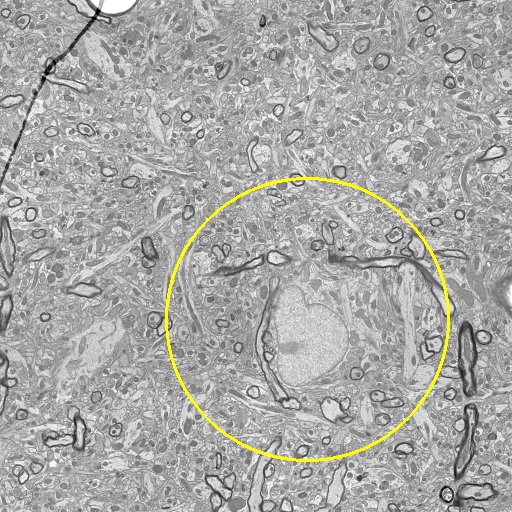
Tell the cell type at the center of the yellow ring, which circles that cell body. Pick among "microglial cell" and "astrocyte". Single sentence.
The ring is centered on the body of an astrocyte.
